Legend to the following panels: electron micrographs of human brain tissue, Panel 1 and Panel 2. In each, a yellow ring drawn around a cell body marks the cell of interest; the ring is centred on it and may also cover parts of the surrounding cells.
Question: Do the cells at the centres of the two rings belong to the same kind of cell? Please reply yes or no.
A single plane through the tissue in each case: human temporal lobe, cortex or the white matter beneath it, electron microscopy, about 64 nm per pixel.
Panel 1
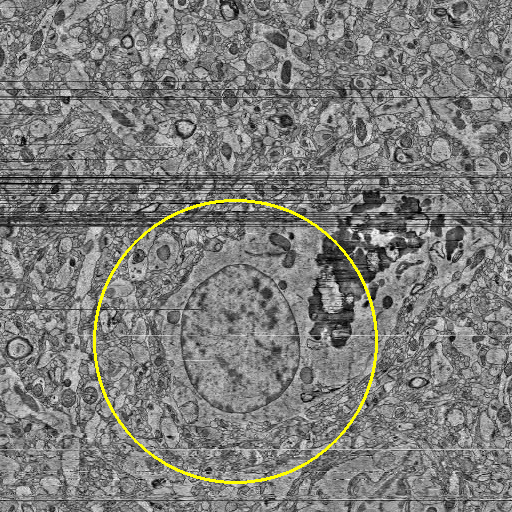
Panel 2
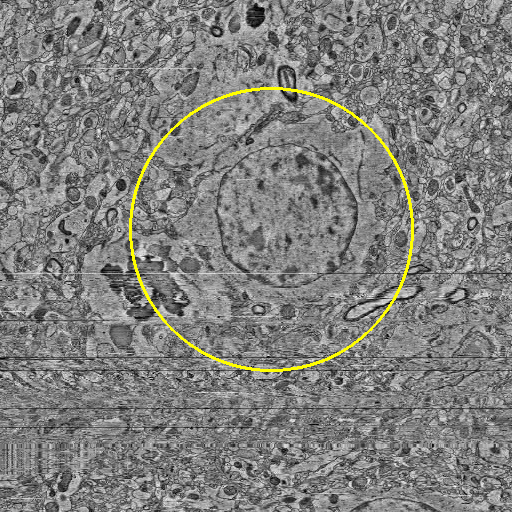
yes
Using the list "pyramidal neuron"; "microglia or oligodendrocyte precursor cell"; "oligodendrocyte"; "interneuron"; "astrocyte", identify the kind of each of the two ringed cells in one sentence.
The cell in the first picture is an astrocyte, and so is the one in the second.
